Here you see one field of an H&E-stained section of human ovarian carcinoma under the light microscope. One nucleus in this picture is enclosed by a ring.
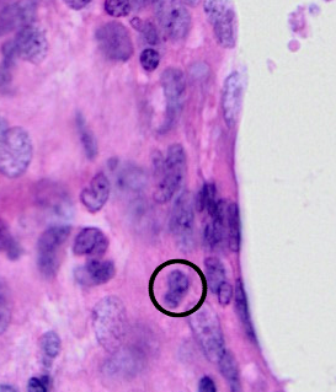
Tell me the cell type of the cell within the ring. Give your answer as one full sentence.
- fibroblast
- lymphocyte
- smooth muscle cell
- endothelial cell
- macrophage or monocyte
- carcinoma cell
Students should answer that the cell within the ring is a lymphocyte.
